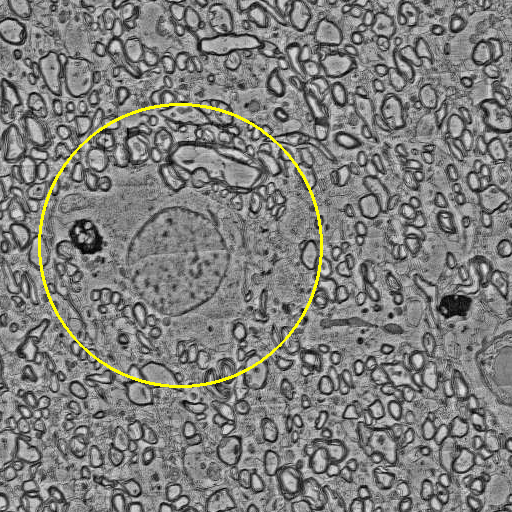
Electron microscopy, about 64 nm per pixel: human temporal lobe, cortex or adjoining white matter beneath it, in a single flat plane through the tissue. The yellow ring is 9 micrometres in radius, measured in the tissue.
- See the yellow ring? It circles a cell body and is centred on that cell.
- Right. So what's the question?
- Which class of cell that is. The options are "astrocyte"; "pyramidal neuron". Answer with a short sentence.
The centre of the ring holds an astrocyte.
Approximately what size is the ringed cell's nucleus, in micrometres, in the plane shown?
Roughly 7 micrometres across, measured in this plane.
